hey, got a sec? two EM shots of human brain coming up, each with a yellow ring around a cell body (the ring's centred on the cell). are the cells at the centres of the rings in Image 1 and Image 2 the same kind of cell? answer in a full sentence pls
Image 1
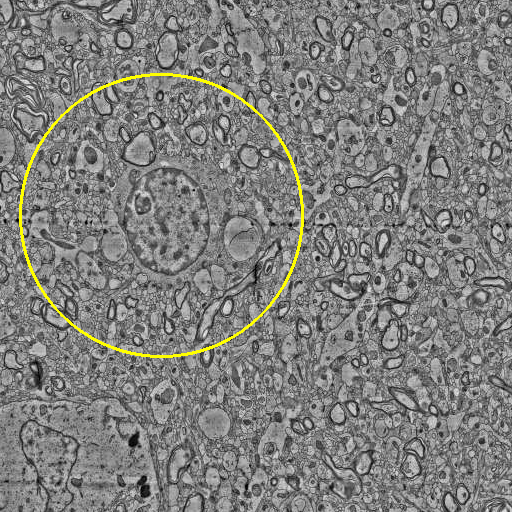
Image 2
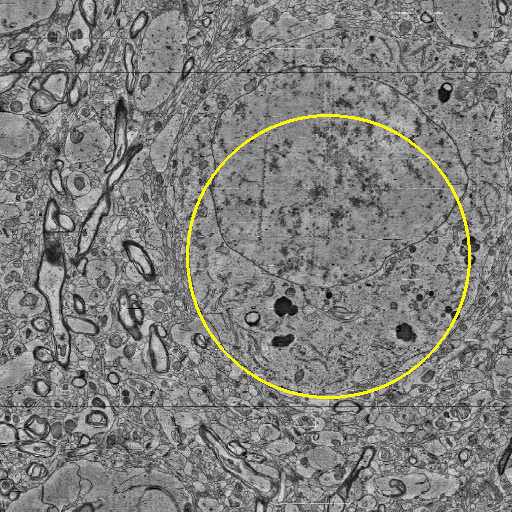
No, they are two kinds of cell.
